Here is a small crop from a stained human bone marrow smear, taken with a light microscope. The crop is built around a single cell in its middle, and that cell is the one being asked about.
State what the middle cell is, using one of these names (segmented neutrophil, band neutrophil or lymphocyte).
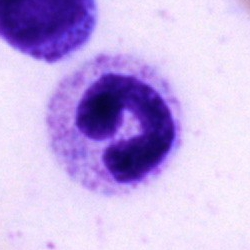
band neutrophil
